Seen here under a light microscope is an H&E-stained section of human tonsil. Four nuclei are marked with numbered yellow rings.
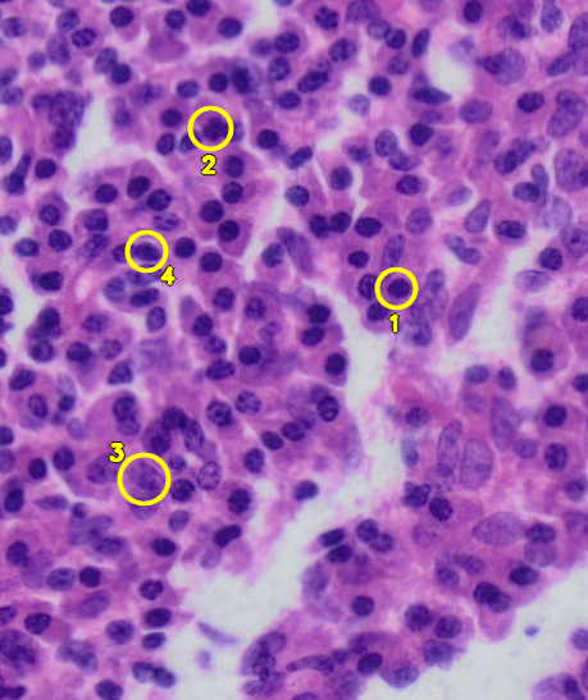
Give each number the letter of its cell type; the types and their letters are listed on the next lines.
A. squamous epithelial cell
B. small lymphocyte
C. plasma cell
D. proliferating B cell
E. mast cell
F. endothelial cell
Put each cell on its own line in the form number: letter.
1: C
2: C
3: A
4: C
